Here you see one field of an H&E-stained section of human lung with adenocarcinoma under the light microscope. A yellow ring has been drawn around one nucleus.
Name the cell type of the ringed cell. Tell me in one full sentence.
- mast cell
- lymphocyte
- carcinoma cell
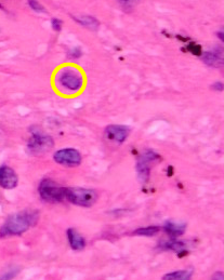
What the ringed cell represents is a mast cell.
